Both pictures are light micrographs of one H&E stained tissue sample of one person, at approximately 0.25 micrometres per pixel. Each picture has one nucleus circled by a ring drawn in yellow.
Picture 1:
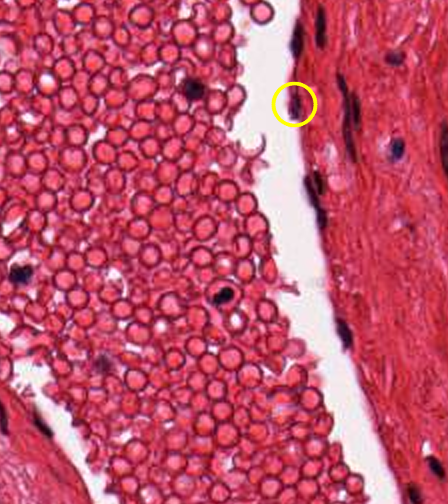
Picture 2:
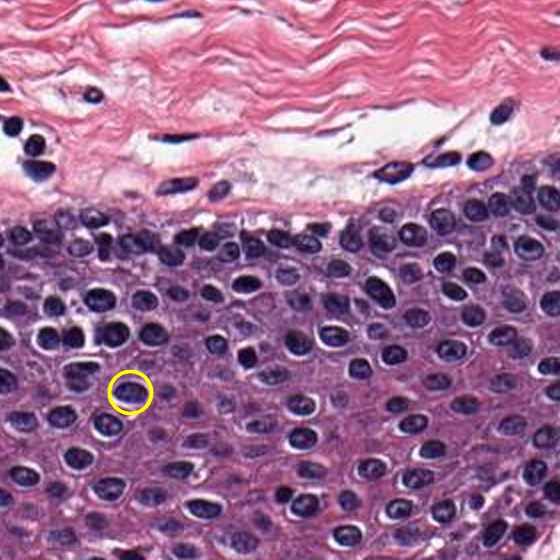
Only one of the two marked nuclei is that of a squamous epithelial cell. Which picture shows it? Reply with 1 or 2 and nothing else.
2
